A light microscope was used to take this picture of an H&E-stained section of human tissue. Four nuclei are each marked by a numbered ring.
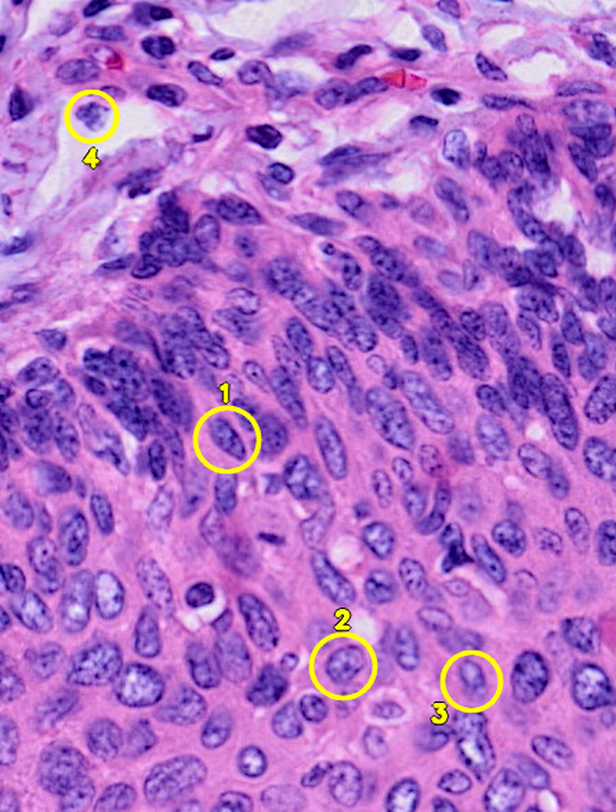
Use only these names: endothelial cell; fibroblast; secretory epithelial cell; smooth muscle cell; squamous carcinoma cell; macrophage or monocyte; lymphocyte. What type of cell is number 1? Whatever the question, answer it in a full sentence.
The cell with the number 1 is a squamous carcinoma cell.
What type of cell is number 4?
The cell indicated with the number 4 is classed as a lymphocyte.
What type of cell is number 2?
Cell 2 of the marked set is a squamous carcinoma cell.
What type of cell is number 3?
Number 3 among the marked cells is a squamous carcinoma cell.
